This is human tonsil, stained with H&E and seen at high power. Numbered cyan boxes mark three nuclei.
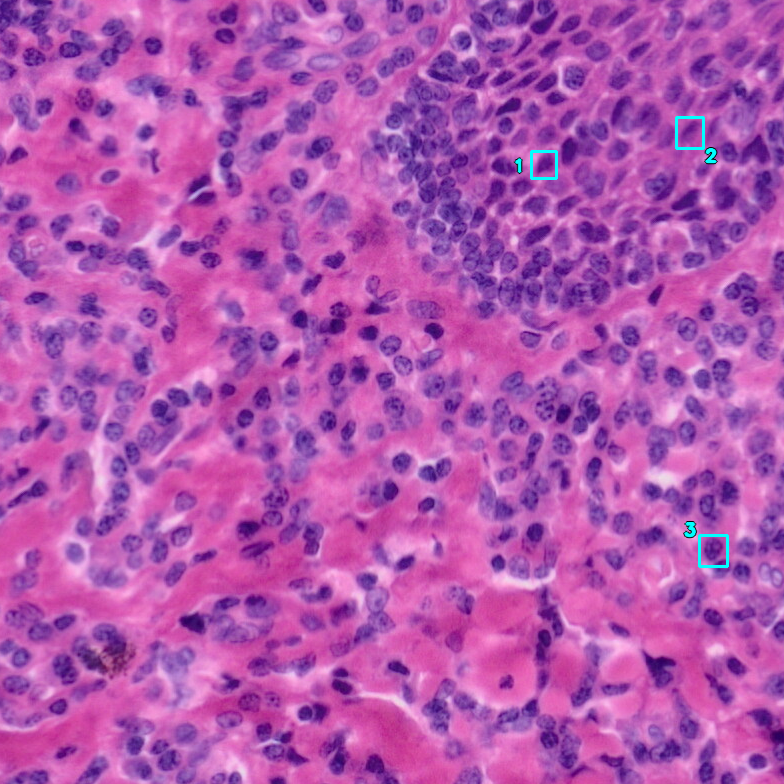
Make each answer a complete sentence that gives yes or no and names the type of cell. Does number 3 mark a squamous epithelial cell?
No, a plasma cell, not a squamous epithelial cell, is the cell with number 3.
